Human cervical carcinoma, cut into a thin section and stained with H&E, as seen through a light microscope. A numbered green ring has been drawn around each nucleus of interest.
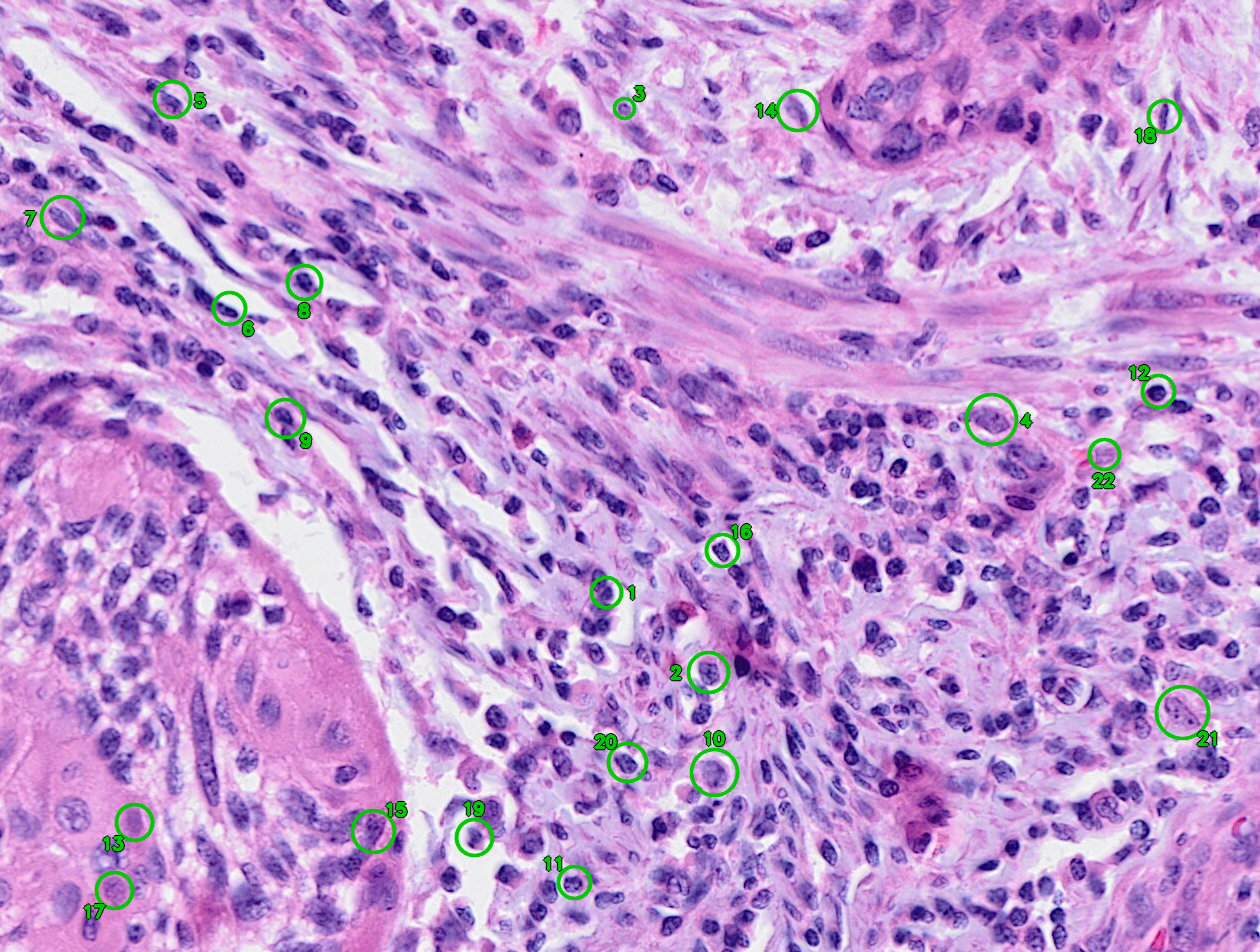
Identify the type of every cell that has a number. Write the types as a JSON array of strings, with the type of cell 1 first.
["lymphocyte", "lymphocyte", "fibroblast", "macrophage or monocyte", "lymphocyte", "lymphocyte", "lymphocyte", "lymphocyte", "lymphocyte", "macrophage or monocyte", "lymphocyte", "lymphocyte", "squamous carcinoma cell", "fibroblast", "squamous carcinoma cell", "lymphocyte", "squamous carcinoma cell", "fibroblast", "lymphocyte", "lymphocyte", "macrophage or monocyte", "endothelial cell"]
